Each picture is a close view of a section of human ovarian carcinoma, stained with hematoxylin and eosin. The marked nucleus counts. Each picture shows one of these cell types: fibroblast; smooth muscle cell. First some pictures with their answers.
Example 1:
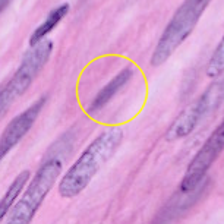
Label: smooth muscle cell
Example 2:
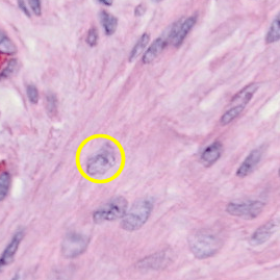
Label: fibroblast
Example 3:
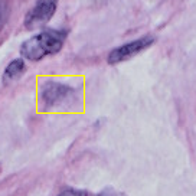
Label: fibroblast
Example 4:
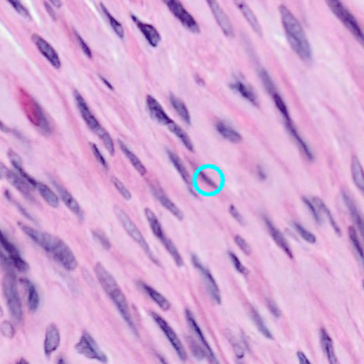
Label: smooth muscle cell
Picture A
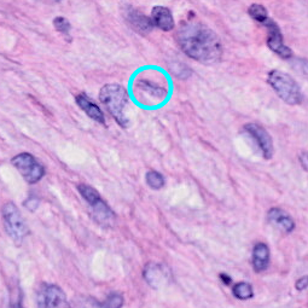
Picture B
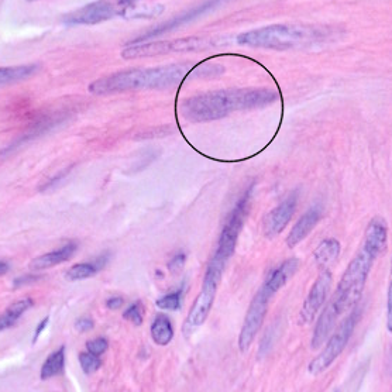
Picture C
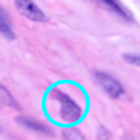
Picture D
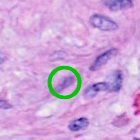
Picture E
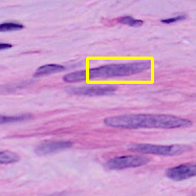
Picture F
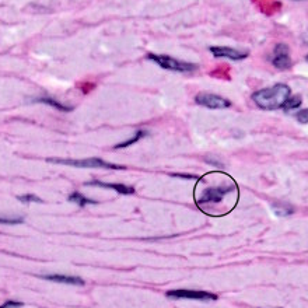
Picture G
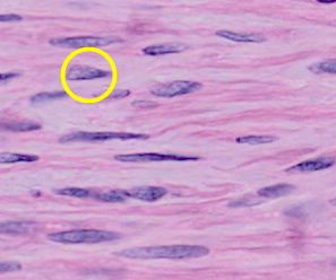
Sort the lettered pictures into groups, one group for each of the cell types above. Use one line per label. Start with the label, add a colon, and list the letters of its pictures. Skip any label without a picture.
fibroblast: A, D, F
smooth muscle cell: B, C, E, G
